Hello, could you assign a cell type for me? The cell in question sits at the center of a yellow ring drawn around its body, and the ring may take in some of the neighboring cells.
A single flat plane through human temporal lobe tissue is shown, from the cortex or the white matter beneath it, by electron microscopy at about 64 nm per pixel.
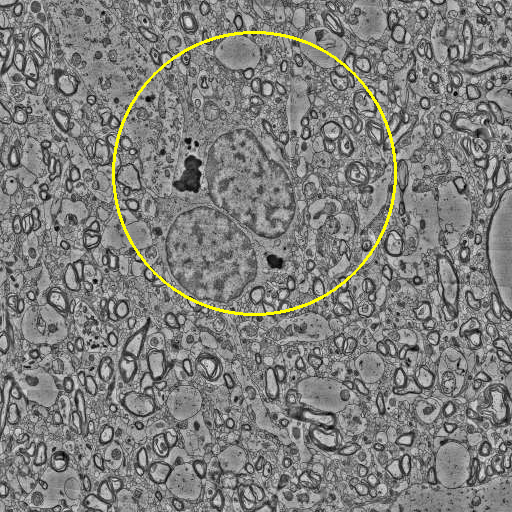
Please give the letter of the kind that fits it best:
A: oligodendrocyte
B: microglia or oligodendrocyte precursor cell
A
